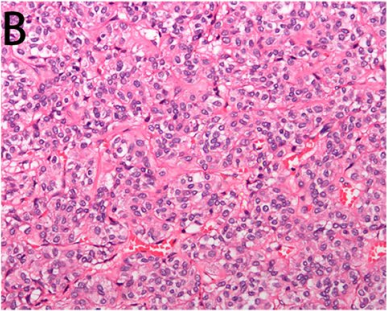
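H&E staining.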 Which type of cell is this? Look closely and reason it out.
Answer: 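Polygonal cells with round to oval nuclei and pale to eosinophilic cytoplasm. Cells arranged in sheets and nests separated by thin vascular septa. So: epithelioid tumor cells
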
